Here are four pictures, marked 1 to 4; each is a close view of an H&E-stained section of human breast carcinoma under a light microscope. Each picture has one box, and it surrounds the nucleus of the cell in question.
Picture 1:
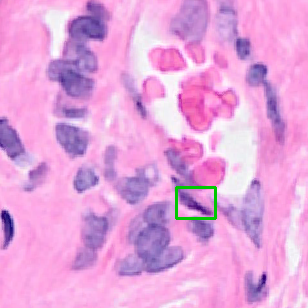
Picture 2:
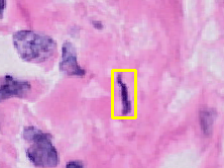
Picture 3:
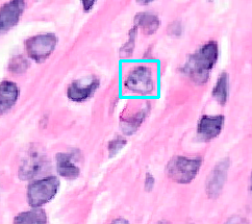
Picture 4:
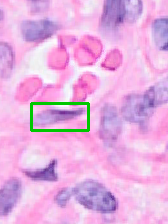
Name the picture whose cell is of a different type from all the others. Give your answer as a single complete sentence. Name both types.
Picture 2 is the odd one out: it shows a fibroblast, while the others show endothelial cells.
